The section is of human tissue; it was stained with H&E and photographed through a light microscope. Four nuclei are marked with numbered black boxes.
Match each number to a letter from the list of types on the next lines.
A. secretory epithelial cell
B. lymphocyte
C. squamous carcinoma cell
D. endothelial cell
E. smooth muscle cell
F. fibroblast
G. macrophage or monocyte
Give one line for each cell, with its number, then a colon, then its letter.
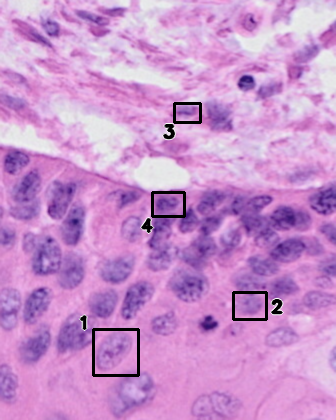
1: C
2: C
3: F
4: C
